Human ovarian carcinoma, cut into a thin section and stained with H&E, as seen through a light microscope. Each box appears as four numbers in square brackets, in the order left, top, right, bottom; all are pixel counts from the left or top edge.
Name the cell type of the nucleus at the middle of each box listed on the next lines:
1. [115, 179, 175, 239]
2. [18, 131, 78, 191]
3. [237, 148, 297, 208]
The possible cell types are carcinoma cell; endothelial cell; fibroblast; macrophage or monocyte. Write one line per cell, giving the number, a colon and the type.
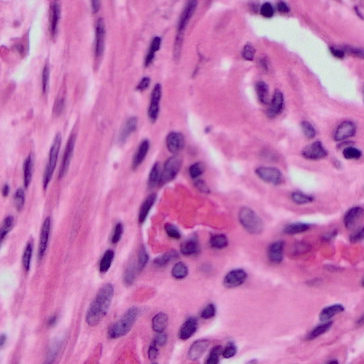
1: endothelial cell
2: fibroblast
3: fibroblast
